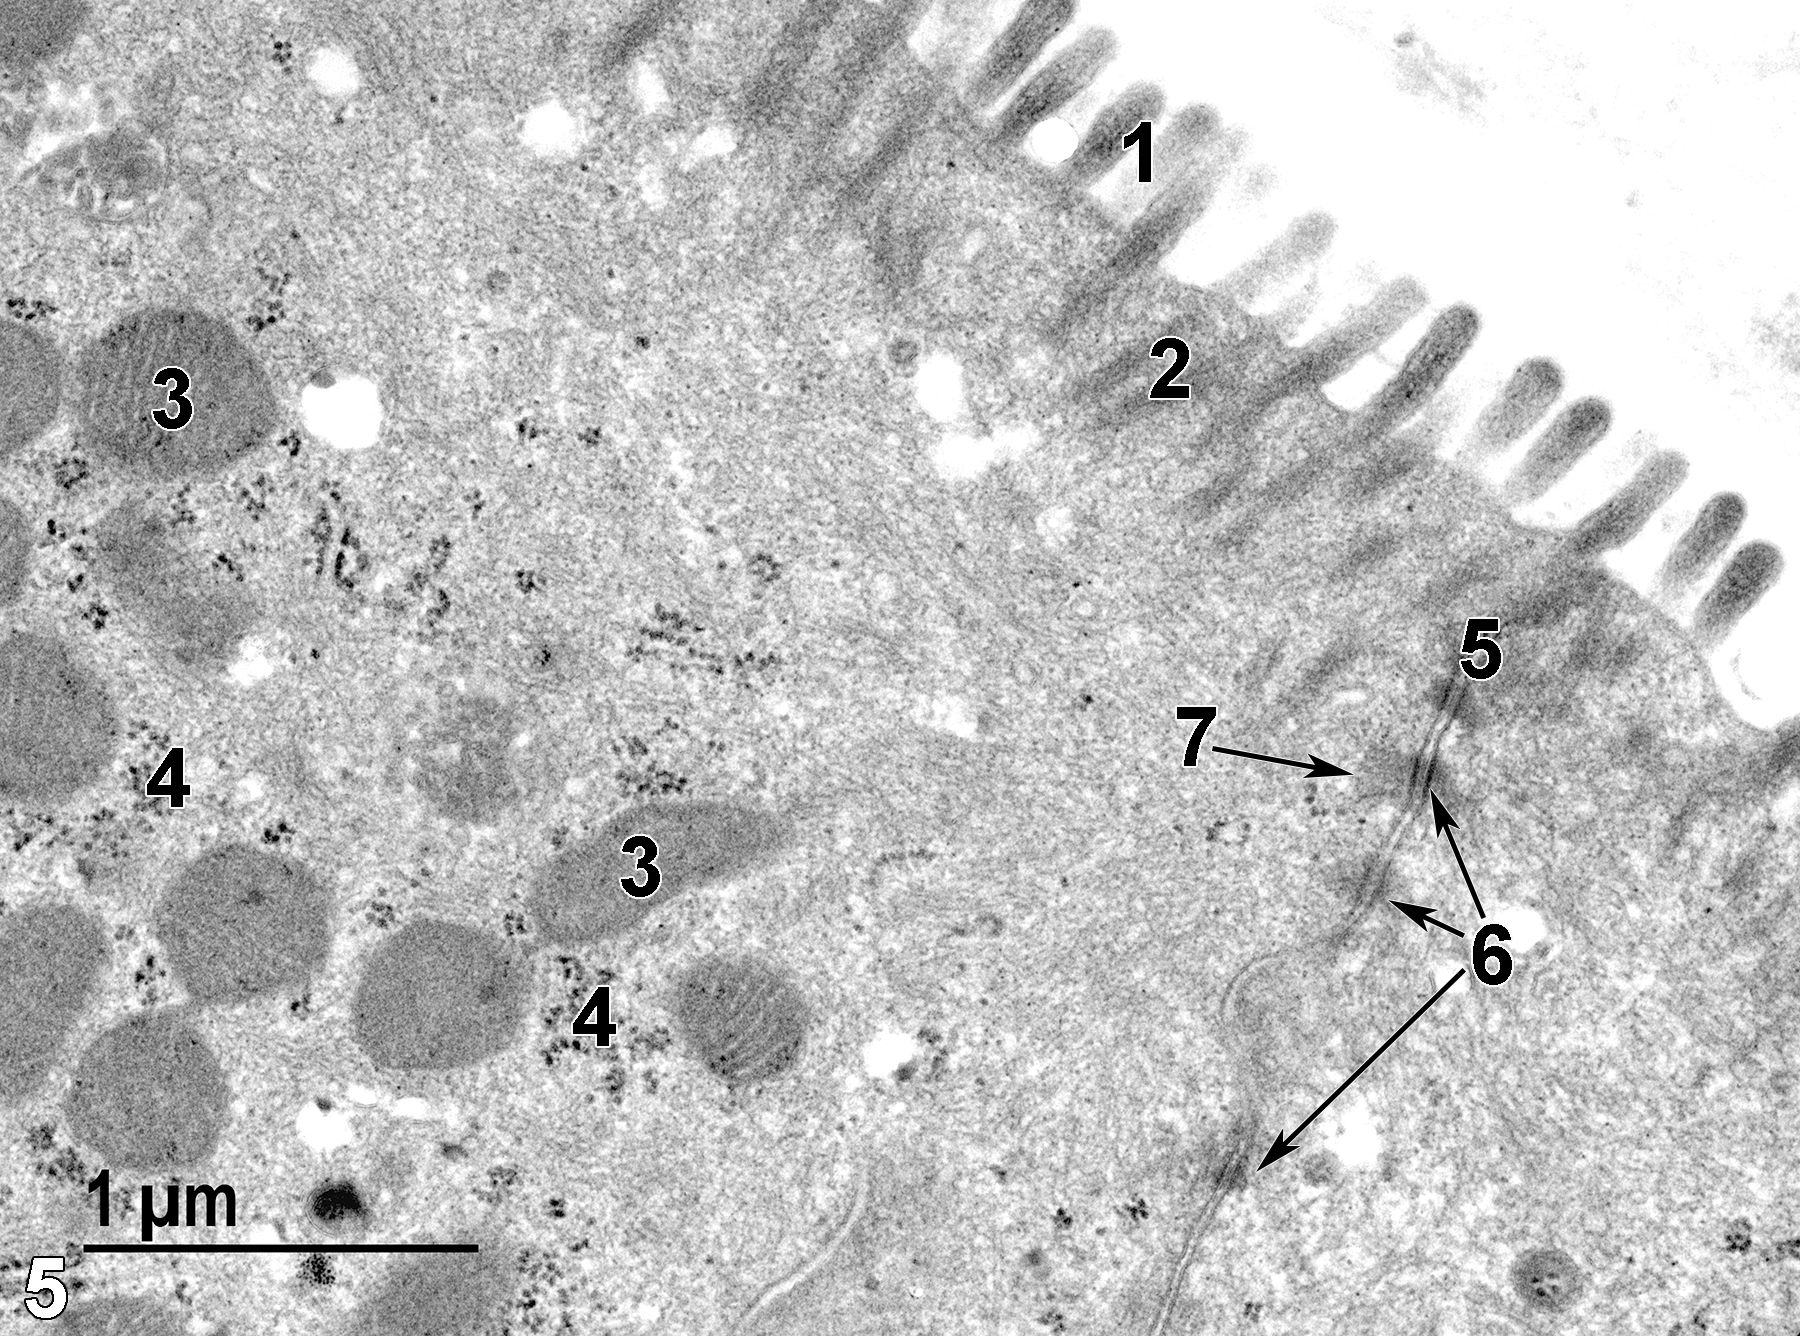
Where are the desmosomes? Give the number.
It's 6.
